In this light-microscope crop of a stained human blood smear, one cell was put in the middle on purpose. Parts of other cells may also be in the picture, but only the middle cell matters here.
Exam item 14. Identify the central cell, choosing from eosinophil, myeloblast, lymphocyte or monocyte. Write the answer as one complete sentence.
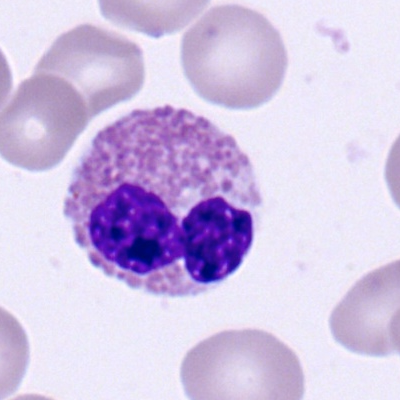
The cell in the middle of this crop is an eosinophil.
